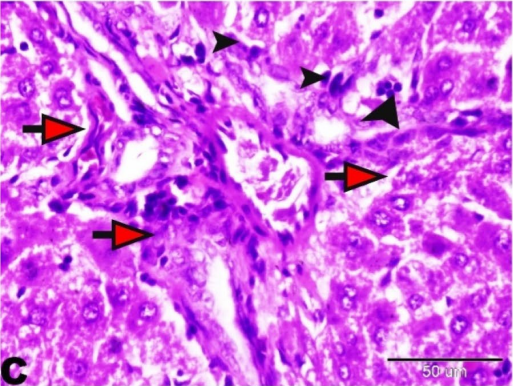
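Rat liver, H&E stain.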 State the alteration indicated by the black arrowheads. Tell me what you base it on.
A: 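Mononuclear lymphocytic infiltration. Small cells with dark, round, densely stained nuclei are scattered in the tissue. These nuclei are much smaller and darker than hepatocyte nuclei.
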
